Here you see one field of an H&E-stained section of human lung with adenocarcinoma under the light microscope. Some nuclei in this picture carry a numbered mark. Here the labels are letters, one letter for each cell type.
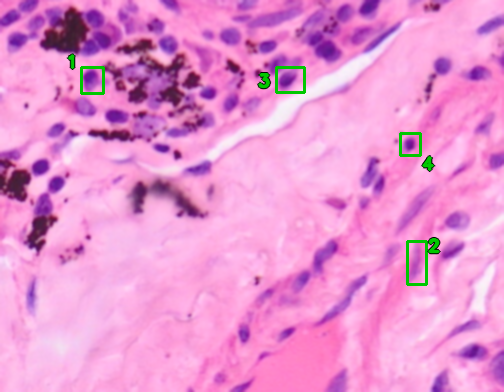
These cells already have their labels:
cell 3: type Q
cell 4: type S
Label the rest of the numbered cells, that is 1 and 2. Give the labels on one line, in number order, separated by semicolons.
type Q; type S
